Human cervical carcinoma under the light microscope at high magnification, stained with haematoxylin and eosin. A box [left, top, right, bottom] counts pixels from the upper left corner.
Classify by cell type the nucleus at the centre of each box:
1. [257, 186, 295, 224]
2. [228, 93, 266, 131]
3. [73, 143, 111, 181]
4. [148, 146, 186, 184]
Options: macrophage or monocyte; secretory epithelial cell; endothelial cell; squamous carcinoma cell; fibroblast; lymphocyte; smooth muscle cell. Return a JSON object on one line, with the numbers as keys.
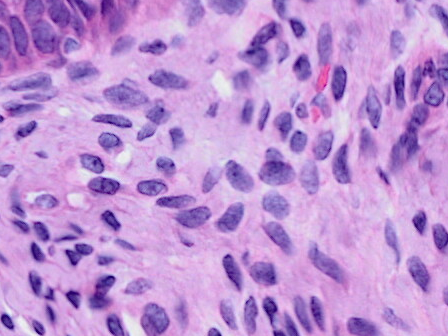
{"1": "fibroblast", "2": "fibroblast", "3": "endothelial cell", "4": "fibroblast"}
